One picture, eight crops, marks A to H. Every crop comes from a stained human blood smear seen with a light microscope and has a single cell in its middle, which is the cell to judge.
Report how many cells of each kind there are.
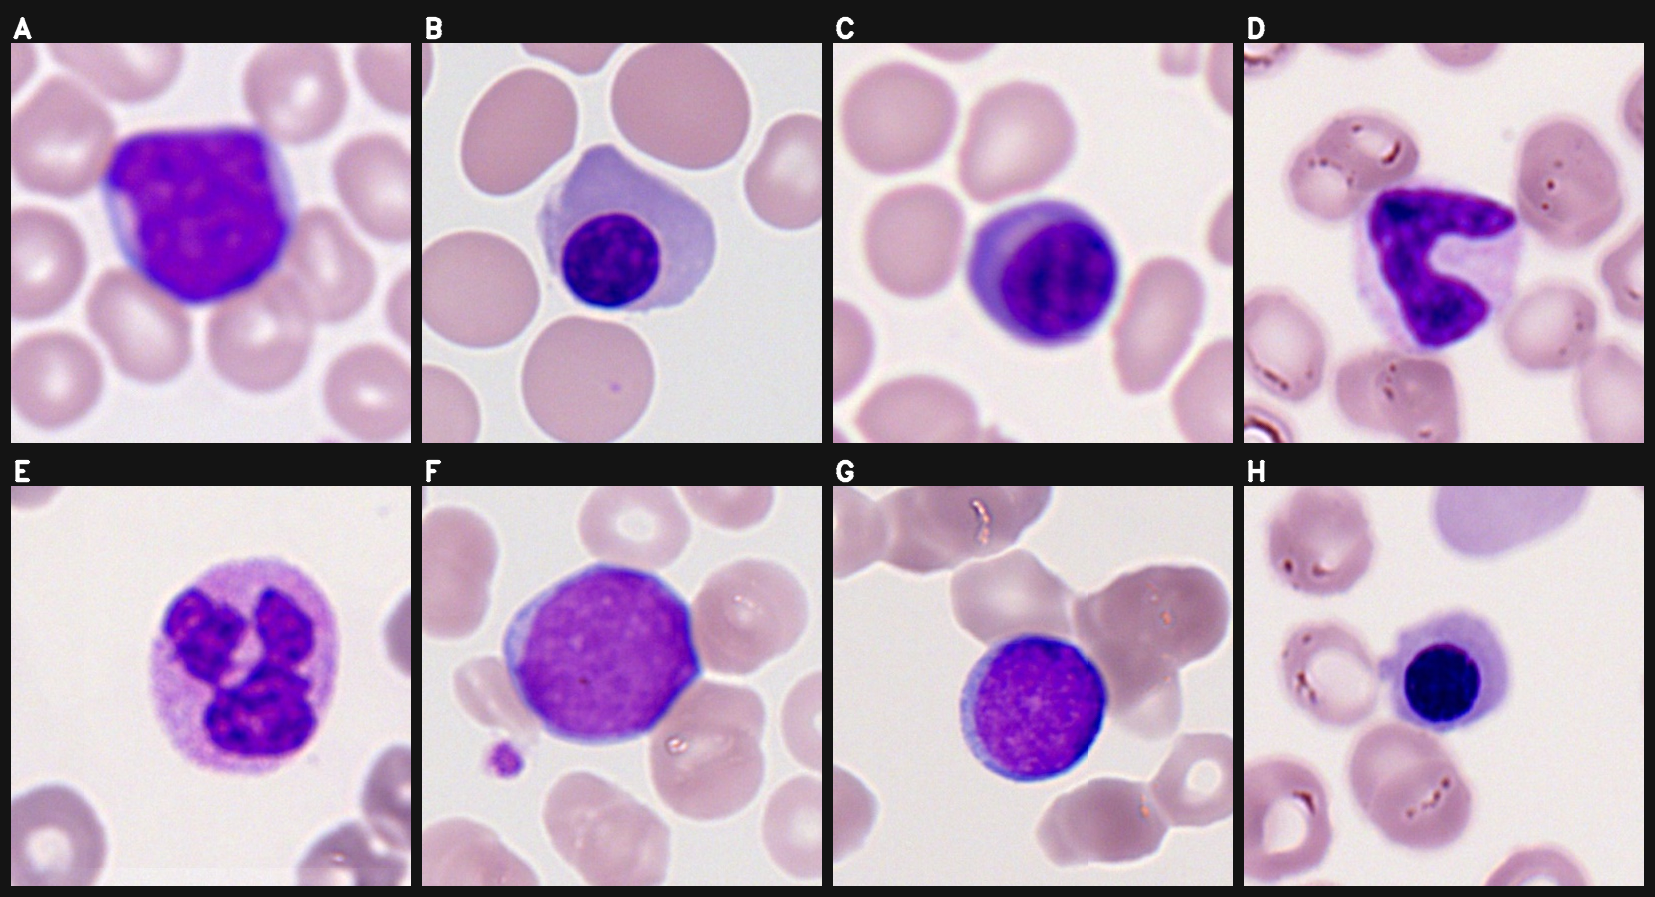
myeloblast: 3
normoblast: 3
band neutrophil: 1
segmented neutrophil: 1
